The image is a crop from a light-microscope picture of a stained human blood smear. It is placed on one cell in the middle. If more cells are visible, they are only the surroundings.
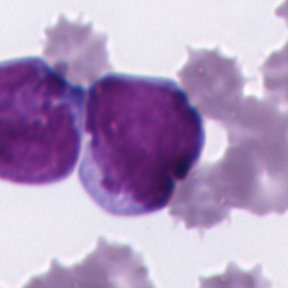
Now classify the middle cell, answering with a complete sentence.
Here the cell in the middle is a myeloblast.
